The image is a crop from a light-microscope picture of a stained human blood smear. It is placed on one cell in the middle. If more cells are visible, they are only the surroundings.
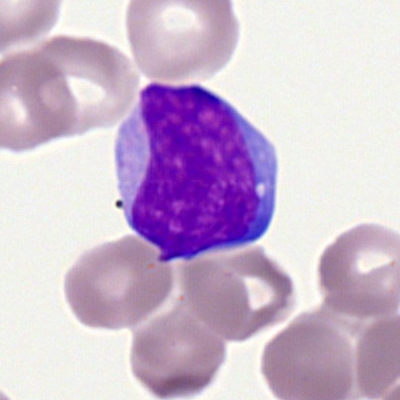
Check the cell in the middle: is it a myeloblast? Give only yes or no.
yes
